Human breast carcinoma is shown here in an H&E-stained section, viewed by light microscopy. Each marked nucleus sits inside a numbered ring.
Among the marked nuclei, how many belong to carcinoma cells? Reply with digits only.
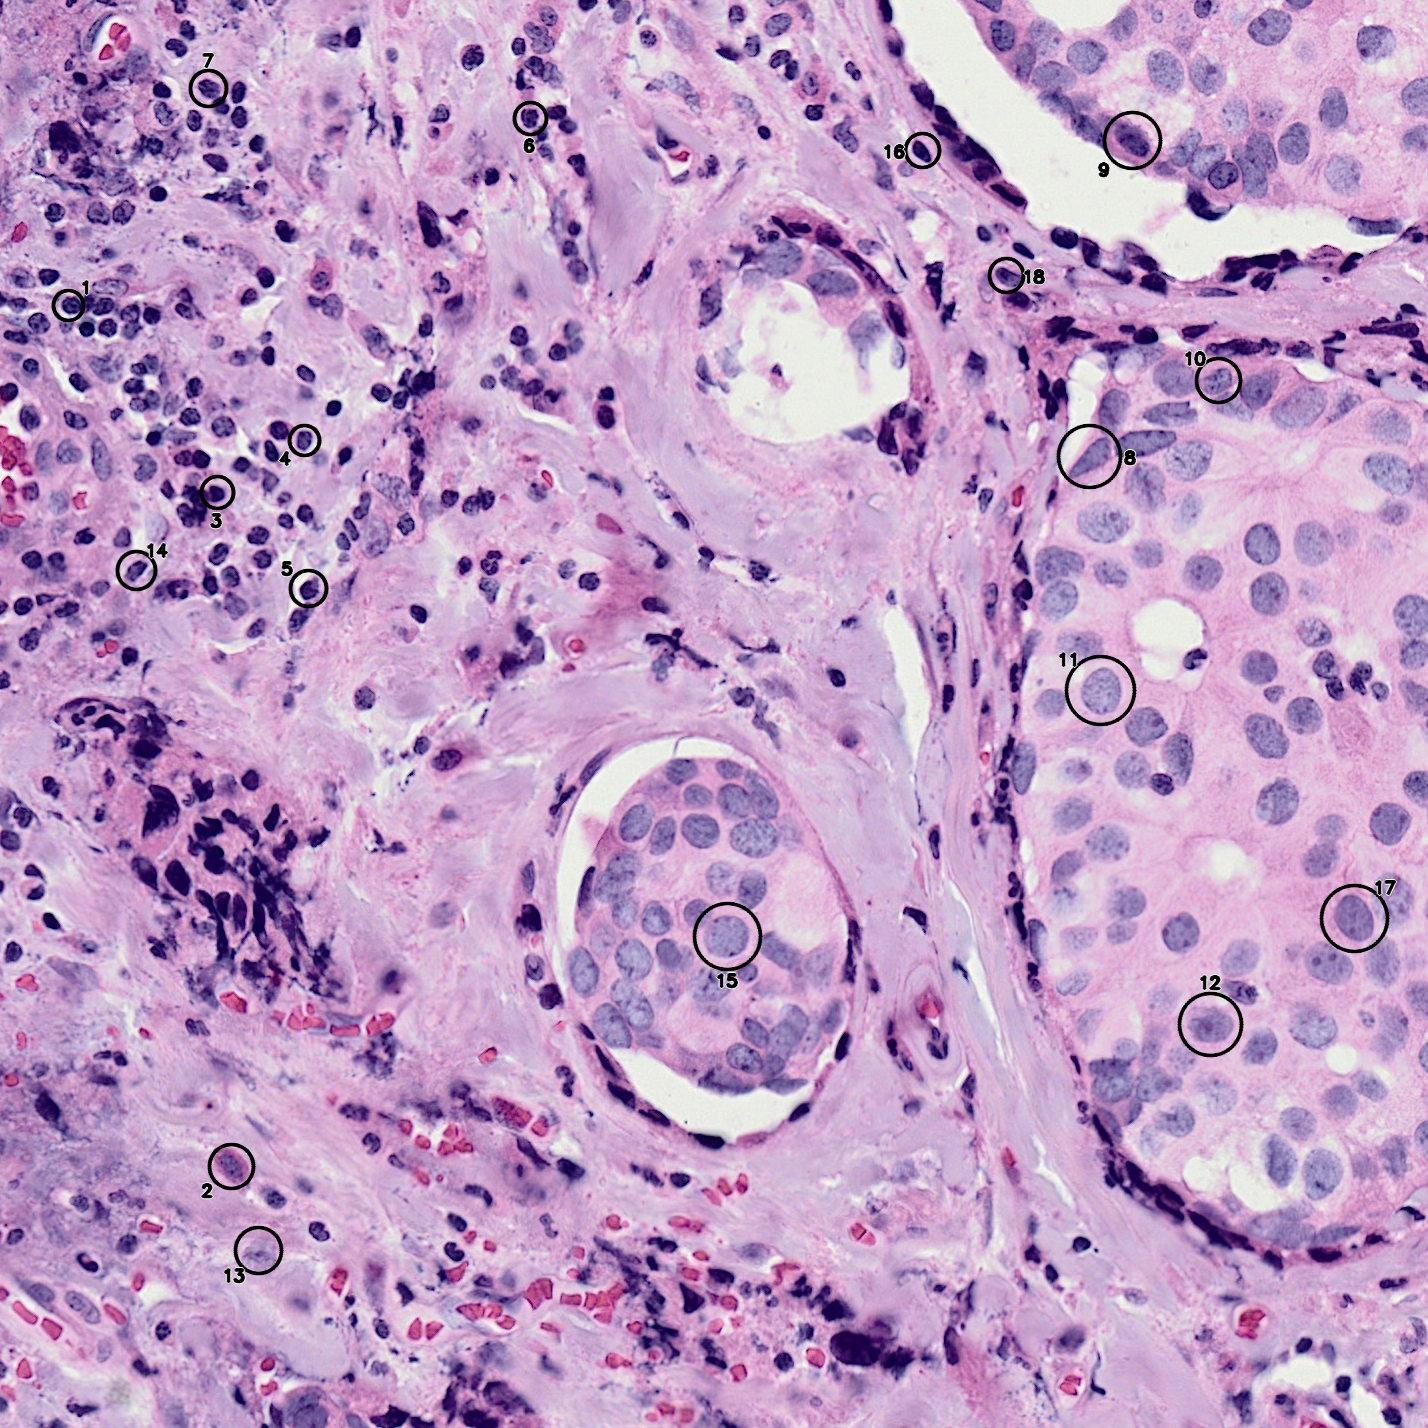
7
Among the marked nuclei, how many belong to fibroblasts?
1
